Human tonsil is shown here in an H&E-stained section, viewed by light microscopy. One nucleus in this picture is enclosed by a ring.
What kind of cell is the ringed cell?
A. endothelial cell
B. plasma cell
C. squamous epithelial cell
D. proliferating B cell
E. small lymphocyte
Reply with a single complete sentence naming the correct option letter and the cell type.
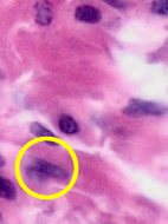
The right pick is option A; the ringed cell is an endothelial cell.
